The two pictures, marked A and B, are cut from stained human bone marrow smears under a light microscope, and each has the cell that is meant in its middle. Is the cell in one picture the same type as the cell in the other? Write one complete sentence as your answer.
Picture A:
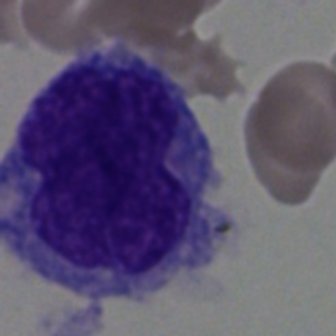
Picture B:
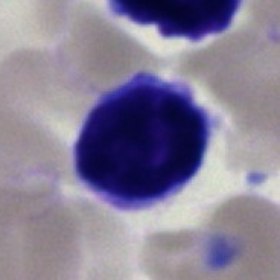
No; the cell in picture A is a monocyte, while the one in picture B is a lymphocyte.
